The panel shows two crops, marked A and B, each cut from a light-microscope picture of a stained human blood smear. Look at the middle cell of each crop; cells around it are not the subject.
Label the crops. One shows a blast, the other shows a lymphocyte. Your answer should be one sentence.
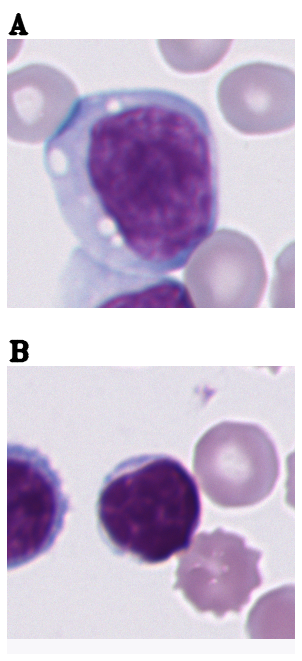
The crop labelled A is a blast, and the crop labelled B is a lymphocyte.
